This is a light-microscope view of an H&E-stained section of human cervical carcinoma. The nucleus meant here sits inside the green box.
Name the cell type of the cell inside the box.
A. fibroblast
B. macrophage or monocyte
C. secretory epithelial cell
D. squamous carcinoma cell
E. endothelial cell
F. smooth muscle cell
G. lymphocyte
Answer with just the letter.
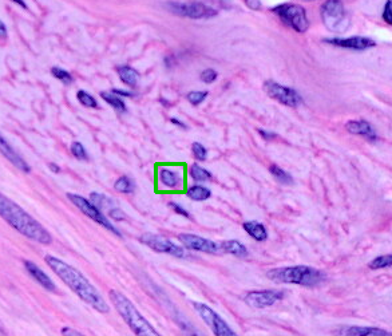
F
